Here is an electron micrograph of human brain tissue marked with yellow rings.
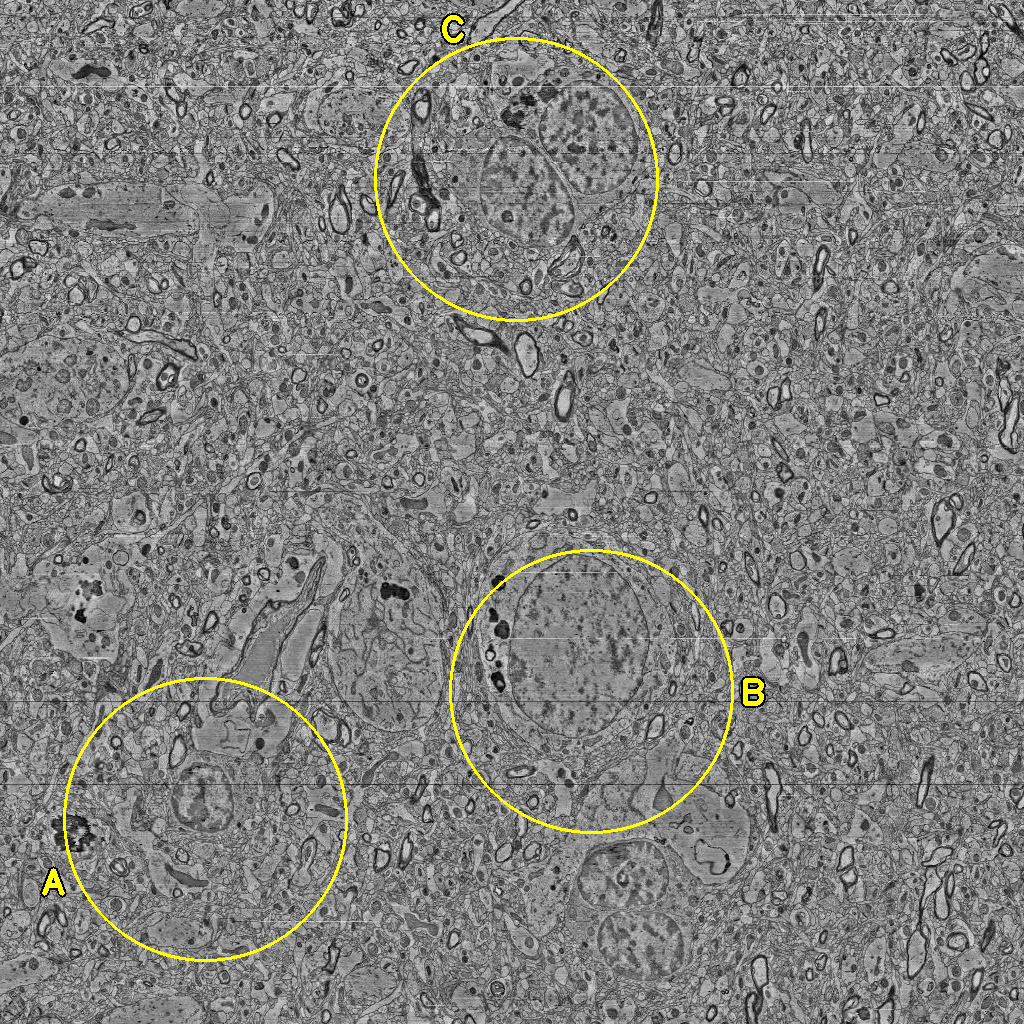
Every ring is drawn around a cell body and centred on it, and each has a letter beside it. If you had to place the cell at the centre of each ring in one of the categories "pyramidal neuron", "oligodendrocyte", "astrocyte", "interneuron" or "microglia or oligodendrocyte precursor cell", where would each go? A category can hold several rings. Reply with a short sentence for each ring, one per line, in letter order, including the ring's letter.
The centre of ring A holds an oligodendrocyte.
The centre of ring B holds a pyramidal neuron.
The centre of ring C holds an oligodendrocyte.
